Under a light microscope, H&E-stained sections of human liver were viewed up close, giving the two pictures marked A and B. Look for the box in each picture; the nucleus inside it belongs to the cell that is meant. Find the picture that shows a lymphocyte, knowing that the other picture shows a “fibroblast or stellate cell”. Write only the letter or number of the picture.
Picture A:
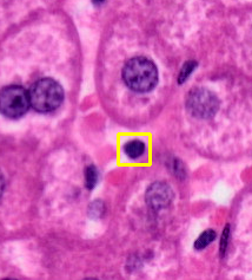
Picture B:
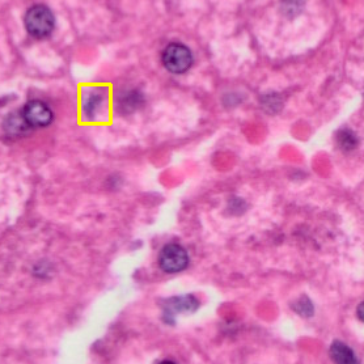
A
